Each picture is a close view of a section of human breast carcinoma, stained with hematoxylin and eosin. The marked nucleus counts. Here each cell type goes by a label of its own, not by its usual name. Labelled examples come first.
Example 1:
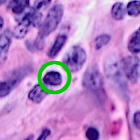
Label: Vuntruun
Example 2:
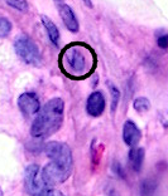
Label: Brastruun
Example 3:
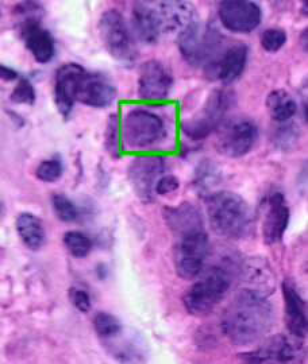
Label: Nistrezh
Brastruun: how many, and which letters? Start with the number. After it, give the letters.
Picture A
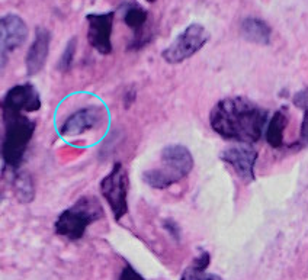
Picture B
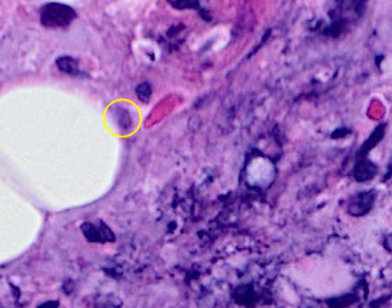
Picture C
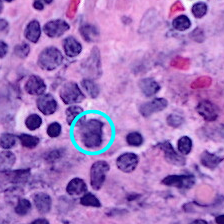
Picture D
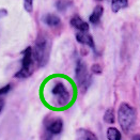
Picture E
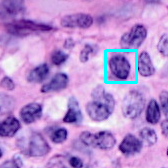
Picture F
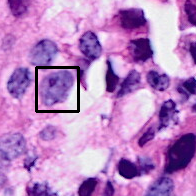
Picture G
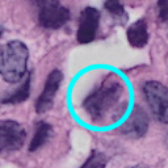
2, namely A, B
